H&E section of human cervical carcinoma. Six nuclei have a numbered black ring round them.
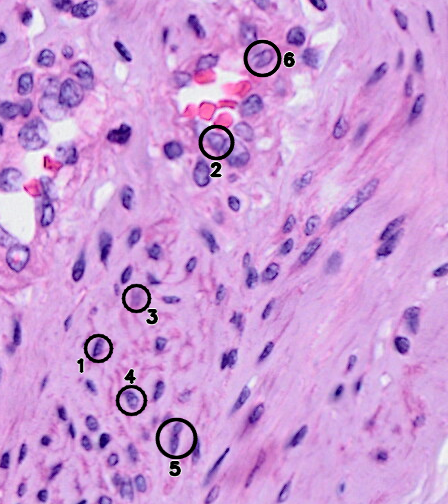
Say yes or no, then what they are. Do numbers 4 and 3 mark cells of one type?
Yes, both are smooth muscle cells.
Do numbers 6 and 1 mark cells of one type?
No, cell 6 is an endothelial cell and cell 1 is a smooth muscle cell.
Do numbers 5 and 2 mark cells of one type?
No, cell 5 is a smooth muscle cell and cell 2 is an endothelial cell.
